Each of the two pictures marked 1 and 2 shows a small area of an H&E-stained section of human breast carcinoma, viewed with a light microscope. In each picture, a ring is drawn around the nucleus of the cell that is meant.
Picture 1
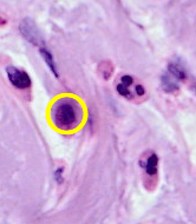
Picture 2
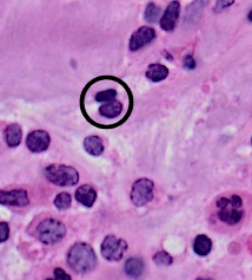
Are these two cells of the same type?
no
